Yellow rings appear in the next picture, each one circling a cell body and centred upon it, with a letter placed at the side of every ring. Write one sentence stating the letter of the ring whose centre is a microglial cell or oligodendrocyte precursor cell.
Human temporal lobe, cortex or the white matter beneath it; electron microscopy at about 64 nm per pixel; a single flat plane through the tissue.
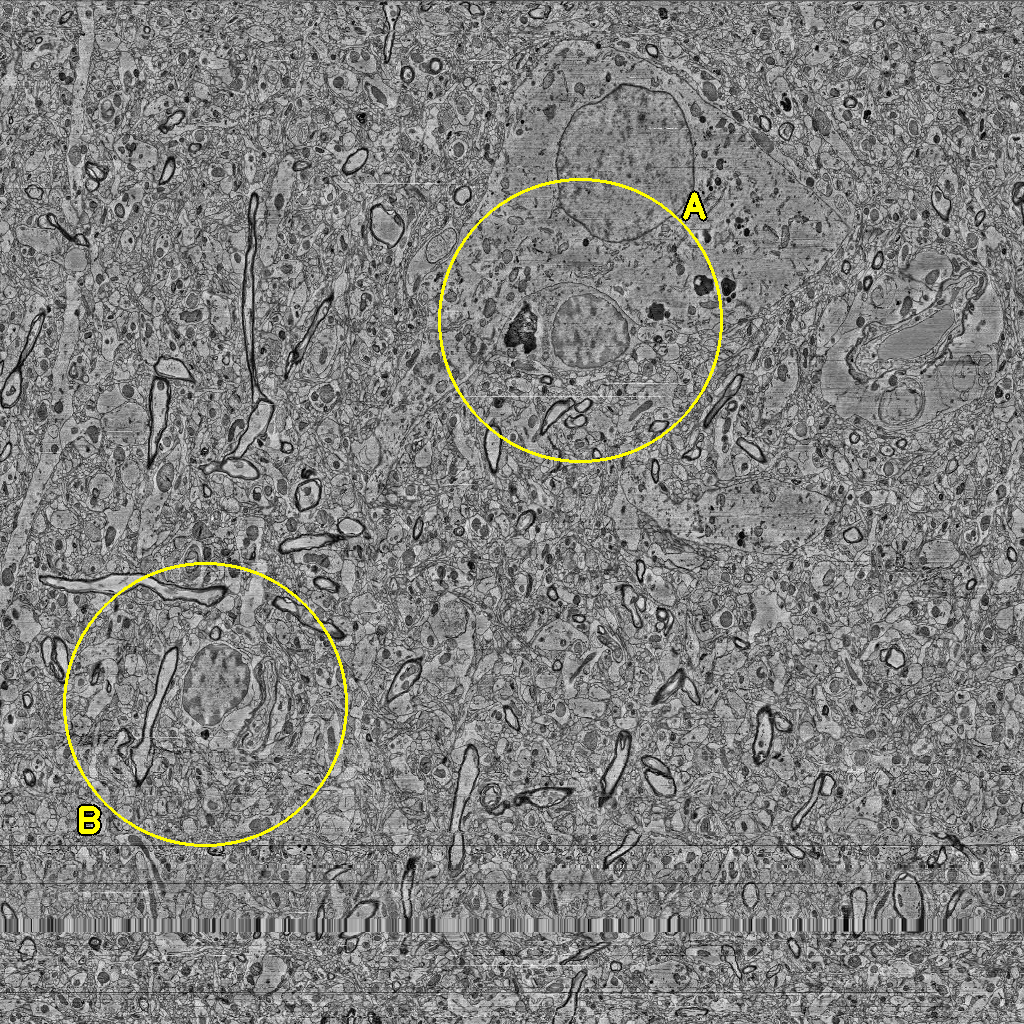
In the picture, the cell asked for lies at the centre of ring B.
